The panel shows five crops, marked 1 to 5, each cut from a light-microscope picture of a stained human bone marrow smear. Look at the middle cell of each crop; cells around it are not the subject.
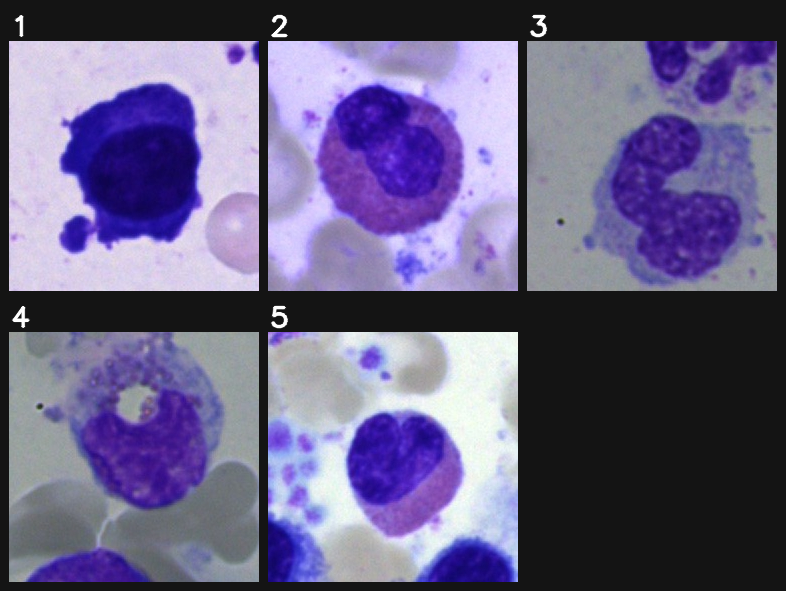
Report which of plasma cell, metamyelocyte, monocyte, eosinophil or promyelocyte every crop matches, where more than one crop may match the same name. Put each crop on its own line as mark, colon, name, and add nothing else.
1: plasma cell
2: eosinophil
3: monocyte
4: monocyte
5: eosinophil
